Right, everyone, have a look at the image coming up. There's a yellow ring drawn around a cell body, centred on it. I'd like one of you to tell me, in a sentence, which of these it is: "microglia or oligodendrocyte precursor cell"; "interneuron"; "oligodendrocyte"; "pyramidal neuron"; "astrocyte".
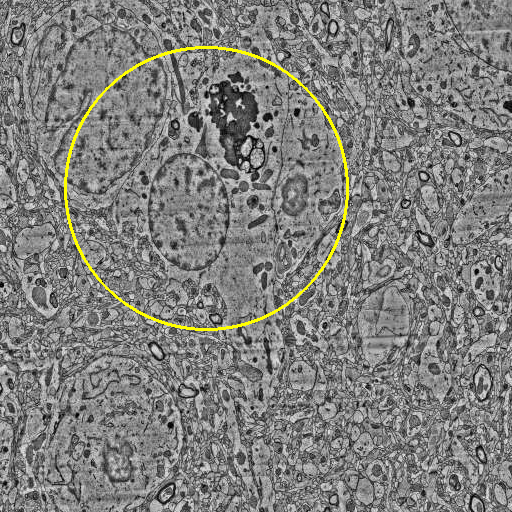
The yellow ring sits on an astrocyte.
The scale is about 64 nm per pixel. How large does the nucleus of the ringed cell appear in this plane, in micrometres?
About 7 by 5 micrometers for the nucleus, in this plane.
